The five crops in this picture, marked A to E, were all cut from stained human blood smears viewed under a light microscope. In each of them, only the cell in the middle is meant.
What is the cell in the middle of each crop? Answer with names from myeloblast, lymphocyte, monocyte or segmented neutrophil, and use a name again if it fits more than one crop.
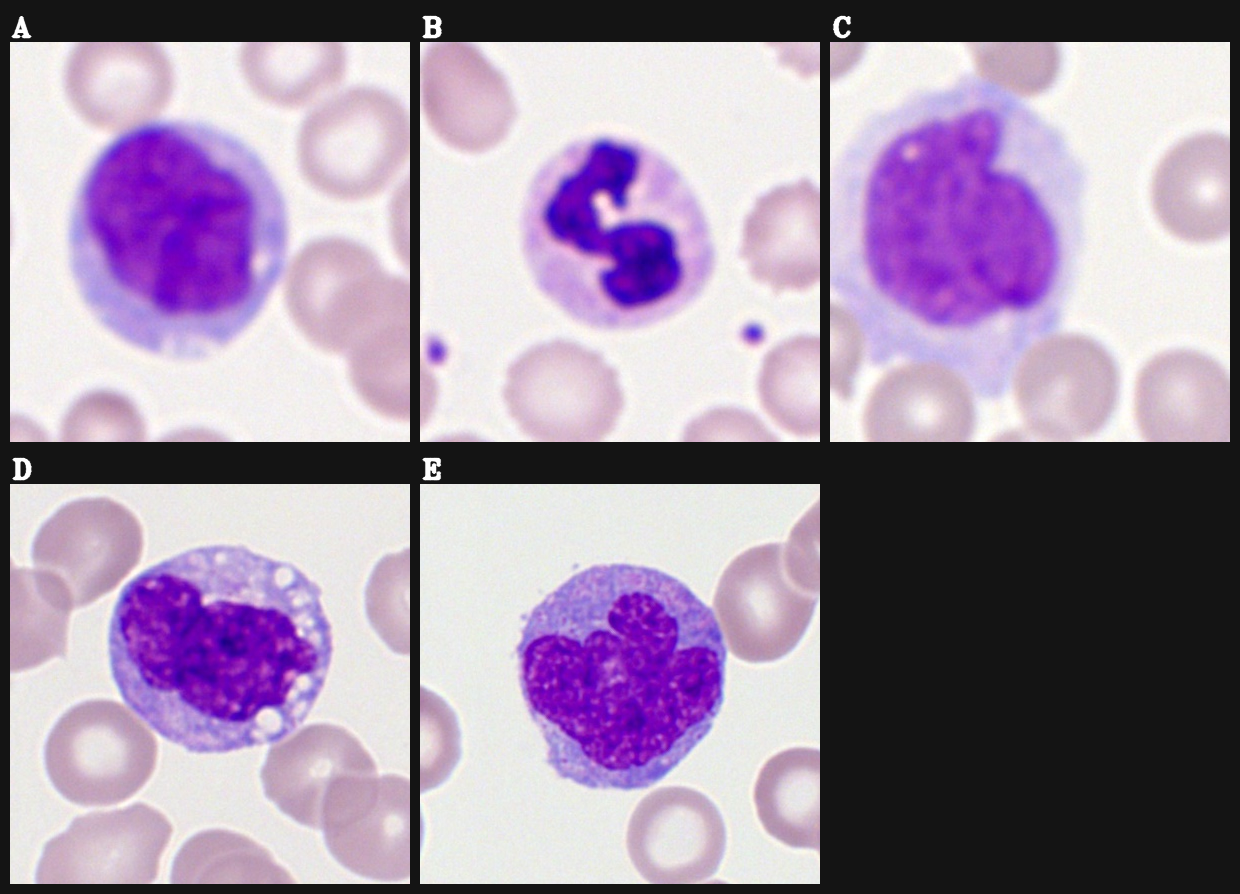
A: monocyte
B: segmented neutrophil
C: monocyte
D: monocyte
E: monocyte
